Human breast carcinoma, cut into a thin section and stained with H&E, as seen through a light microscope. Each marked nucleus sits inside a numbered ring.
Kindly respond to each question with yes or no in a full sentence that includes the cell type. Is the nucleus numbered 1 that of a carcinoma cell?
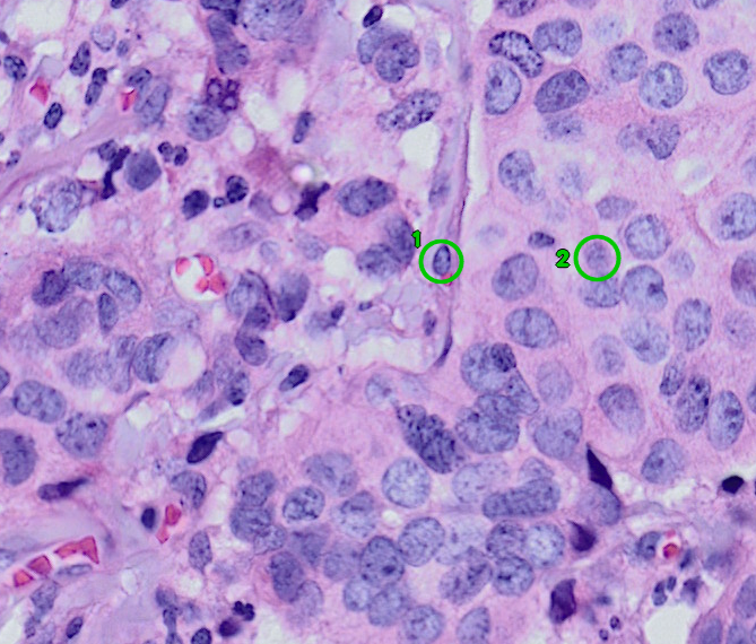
No, cell 1 does not count as a carcinoma cell; it is an endothelial cell.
